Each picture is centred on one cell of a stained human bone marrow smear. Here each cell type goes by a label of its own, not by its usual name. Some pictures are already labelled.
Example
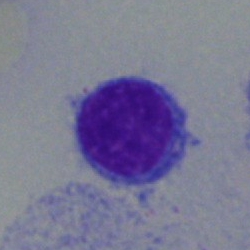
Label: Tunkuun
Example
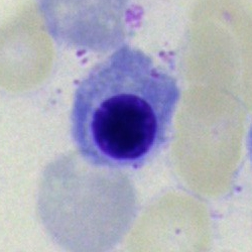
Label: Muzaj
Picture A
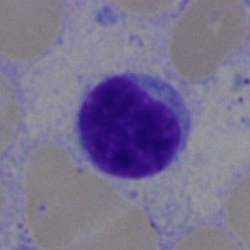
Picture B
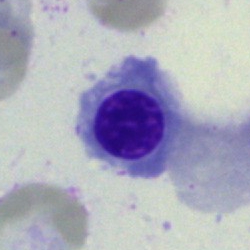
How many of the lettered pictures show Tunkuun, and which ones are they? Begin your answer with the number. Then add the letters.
1, namely A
